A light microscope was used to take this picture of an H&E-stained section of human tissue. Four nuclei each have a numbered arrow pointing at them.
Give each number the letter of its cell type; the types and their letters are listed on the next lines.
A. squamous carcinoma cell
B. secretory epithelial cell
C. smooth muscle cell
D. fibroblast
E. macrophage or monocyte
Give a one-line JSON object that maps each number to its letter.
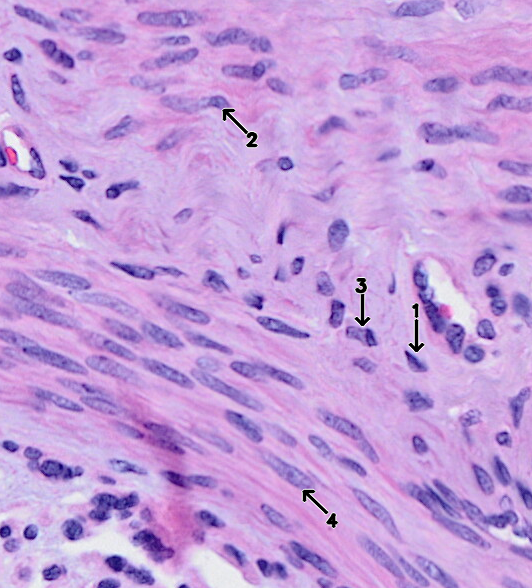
{"1": "D", "2": "C", "3": "D", "4": "C"}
